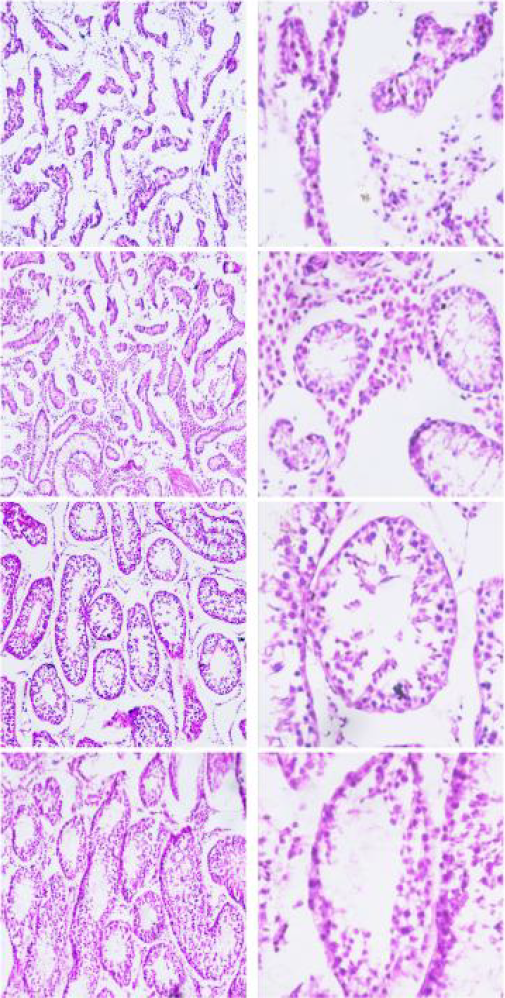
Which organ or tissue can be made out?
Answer: Testicular tissues.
